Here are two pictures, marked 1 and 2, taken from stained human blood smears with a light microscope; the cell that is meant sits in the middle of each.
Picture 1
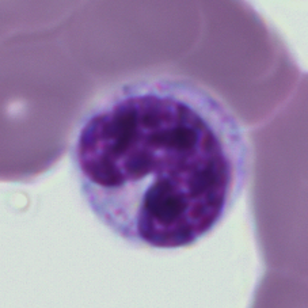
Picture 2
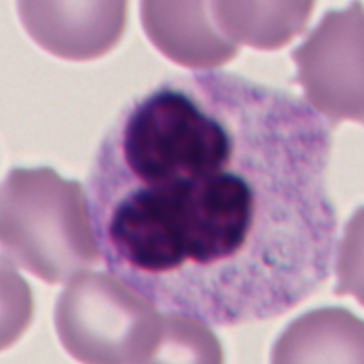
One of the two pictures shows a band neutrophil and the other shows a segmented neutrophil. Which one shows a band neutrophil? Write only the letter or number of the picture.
1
